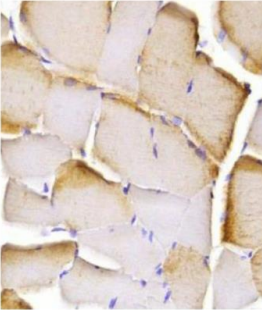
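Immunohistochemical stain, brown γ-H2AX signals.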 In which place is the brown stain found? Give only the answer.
Near periphery of myofibers.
